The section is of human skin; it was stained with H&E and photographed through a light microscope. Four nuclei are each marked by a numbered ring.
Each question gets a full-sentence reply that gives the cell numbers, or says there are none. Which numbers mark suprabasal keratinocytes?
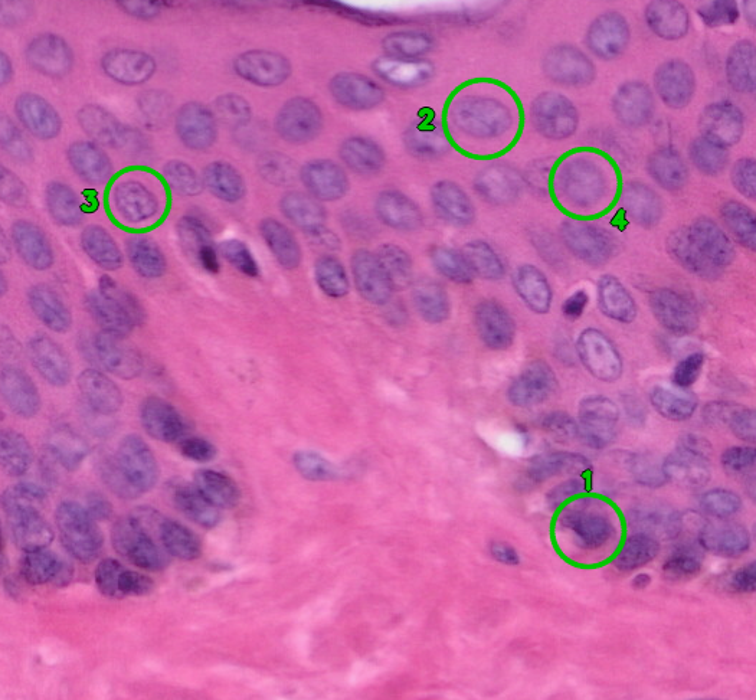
The cells with numbers 2, 3 and 4 are suprabasal keratinocytes by type.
